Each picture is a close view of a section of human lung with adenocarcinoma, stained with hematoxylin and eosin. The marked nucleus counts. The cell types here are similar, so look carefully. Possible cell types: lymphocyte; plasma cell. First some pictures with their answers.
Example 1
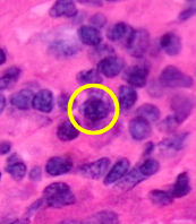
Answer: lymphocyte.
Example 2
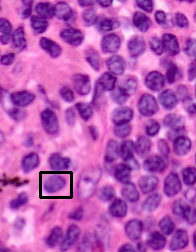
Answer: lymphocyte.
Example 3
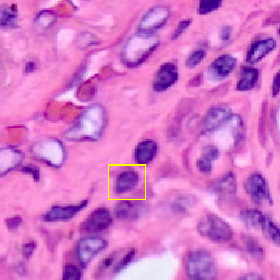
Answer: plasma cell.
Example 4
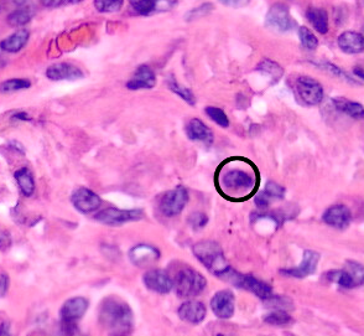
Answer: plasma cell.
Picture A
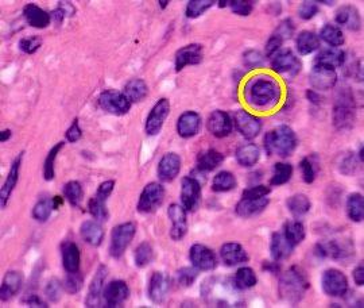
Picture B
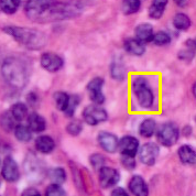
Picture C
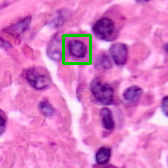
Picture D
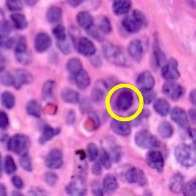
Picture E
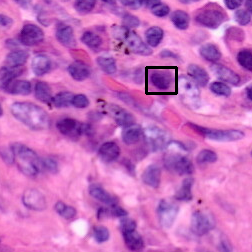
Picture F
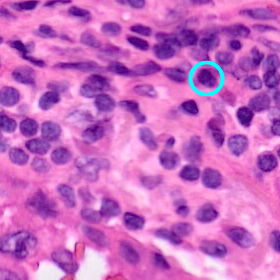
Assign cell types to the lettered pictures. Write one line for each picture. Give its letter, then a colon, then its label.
A: lymphocyte.
B: lymphocyte.
C: plasma cell.
D: plasma cell.
E: plasma cell.
F: plasma cell.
